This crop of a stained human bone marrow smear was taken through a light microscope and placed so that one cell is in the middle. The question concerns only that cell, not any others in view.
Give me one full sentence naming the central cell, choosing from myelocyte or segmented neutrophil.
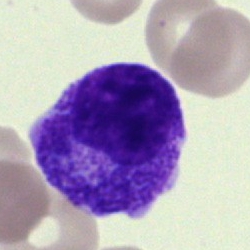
The target cell in the middle of the crop is a myelocyte.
